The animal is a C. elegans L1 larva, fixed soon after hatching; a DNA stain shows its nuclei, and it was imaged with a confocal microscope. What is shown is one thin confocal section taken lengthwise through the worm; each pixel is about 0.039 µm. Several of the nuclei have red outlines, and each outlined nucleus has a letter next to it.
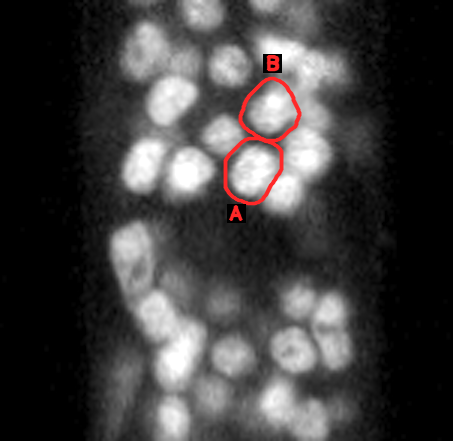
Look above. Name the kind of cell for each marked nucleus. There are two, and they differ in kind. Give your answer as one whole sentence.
A is in a GLR cell and B is in a neuron.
